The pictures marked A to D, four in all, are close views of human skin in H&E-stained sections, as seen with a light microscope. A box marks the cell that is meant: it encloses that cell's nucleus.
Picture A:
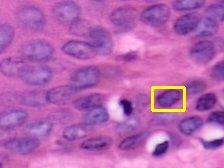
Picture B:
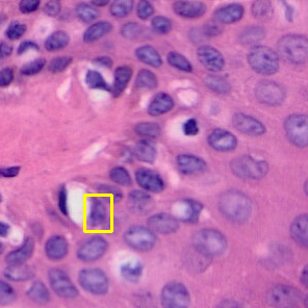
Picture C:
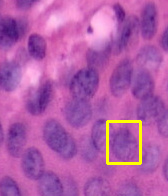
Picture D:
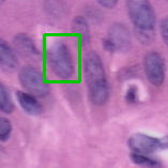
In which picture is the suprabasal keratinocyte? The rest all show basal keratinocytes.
C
